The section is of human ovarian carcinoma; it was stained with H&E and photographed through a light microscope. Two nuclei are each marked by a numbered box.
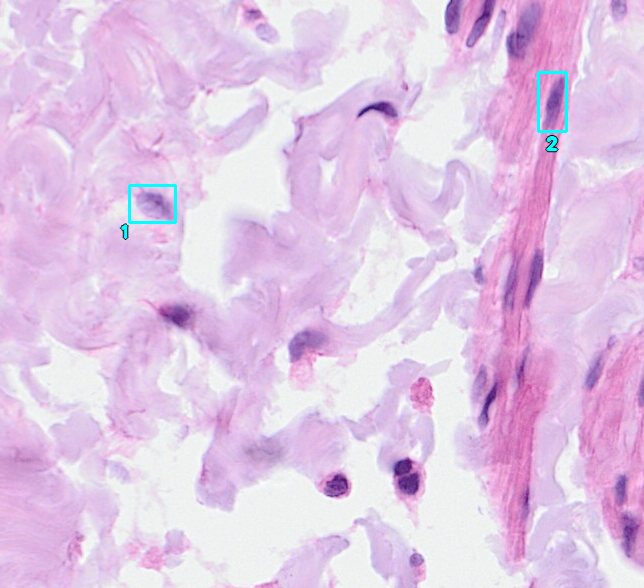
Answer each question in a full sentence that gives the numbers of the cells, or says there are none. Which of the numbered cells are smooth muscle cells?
The nucleus labelled 2 alone belongs to a smooth muscle cell; the other marked nuclei do not.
